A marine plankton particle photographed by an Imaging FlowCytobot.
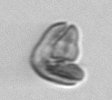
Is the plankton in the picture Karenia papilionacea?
Yes, it is Karenia papilionacea.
